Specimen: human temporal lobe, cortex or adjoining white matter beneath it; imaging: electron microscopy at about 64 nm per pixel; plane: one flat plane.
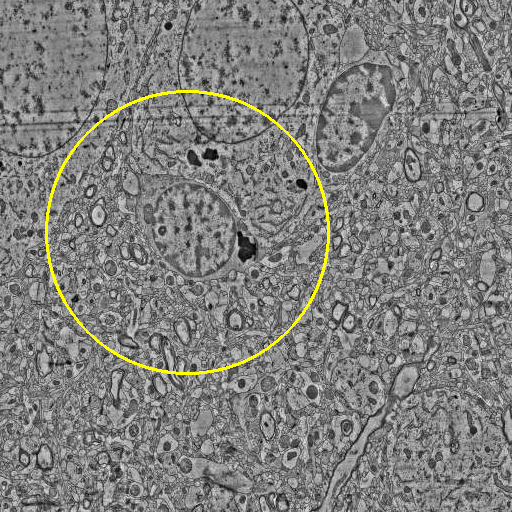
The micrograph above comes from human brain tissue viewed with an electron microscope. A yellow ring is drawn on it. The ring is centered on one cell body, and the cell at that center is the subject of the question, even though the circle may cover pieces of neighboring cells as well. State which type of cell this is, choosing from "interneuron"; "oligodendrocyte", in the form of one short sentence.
The cell the ring is centered on is an oligodendrocyte.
